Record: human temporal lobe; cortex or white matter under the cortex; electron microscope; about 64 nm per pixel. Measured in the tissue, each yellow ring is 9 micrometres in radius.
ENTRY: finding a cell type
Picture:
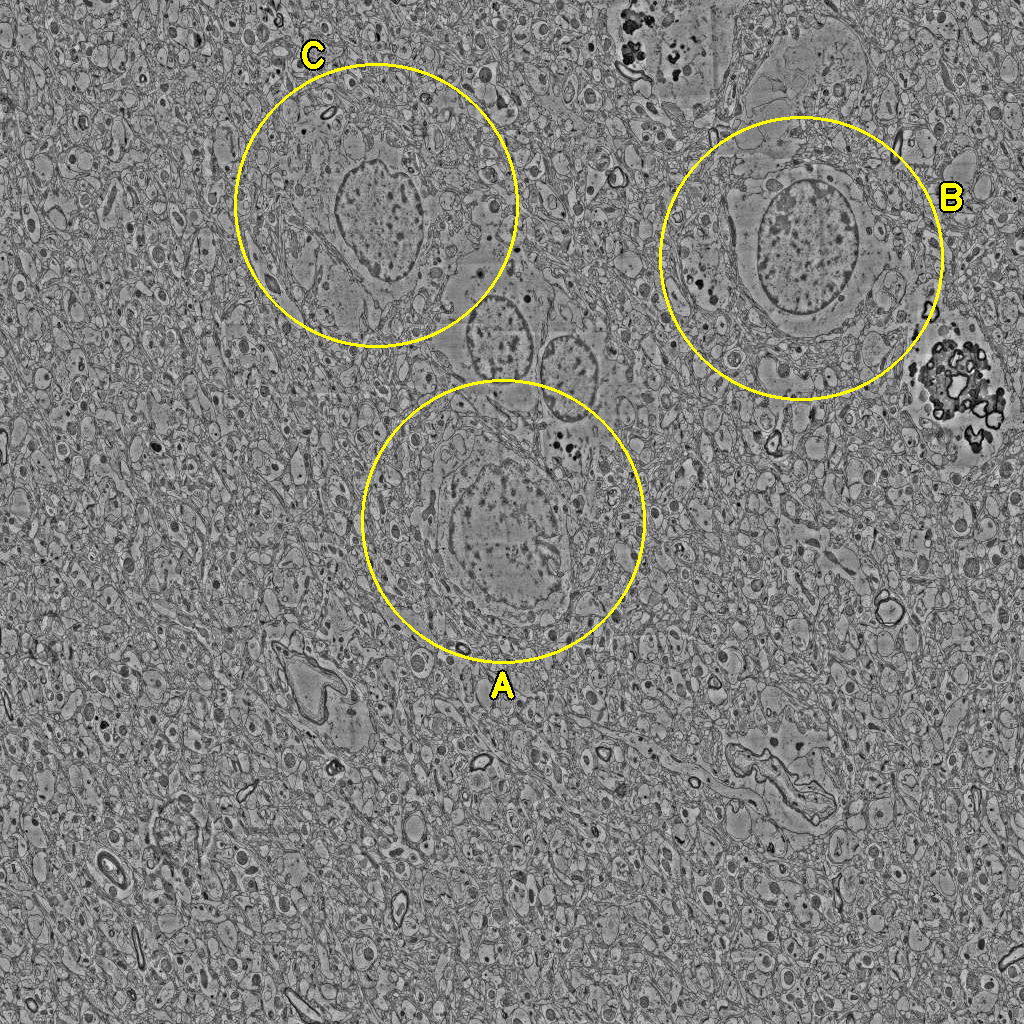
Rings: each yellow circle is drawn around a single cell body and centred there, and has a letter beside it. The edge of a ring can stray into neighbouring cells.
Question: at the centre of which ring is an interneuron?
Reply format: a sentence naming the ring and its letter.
The answer is ring A, the one centred on the cell asked for.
